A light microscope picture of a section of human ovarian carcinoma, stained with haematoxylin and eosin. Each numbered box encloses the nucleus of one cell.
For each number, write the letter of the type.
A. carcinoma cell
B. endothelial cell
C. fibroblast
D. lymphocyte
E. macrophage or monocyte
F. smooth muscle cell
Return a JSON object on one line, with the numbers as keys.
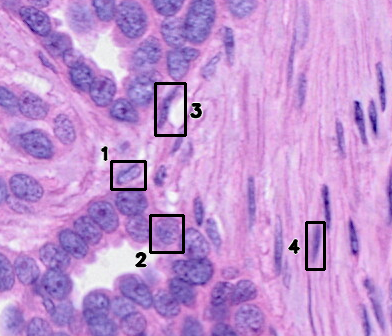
{"1": "C", "2": "A", "3": "C", "4": "C"}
